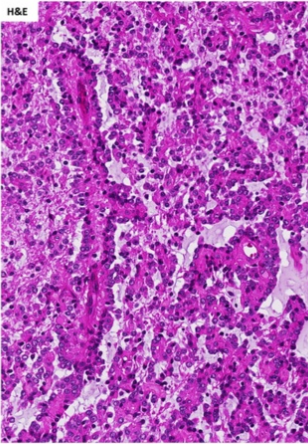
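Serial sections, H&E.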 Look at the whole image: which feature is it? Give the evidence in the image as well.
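Cells are lined up in layers around elongated, branching cores. Looser, paler spaces separate the cell-lined cores.
Papillary architecture.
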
